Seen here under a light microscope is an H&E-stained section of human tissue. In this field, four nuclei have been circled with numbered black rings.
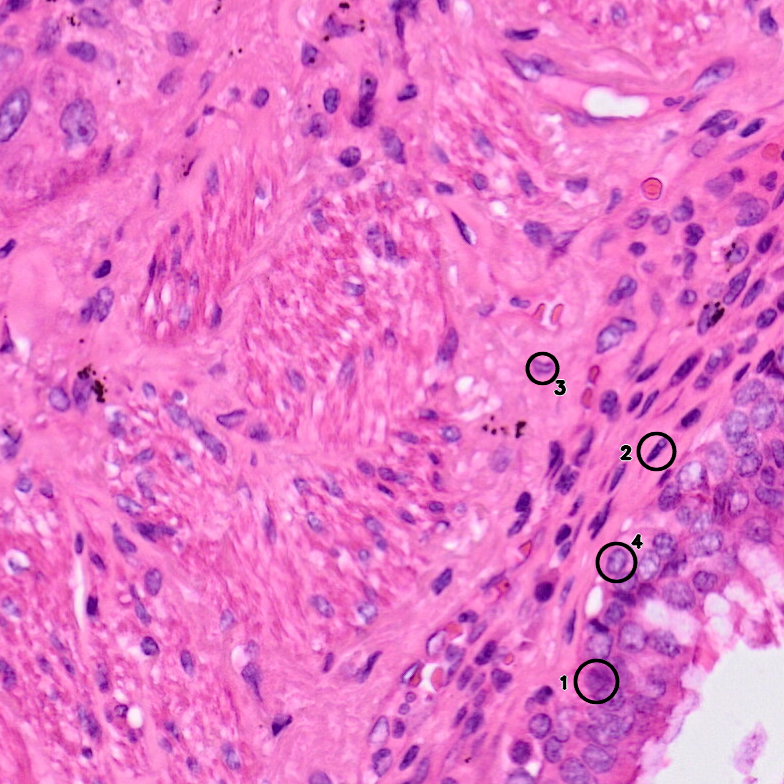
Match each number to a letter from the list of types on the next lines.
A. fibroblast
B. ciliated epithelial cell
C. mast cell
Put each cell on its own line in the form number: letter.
1: B
2: C
3: A
4: B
